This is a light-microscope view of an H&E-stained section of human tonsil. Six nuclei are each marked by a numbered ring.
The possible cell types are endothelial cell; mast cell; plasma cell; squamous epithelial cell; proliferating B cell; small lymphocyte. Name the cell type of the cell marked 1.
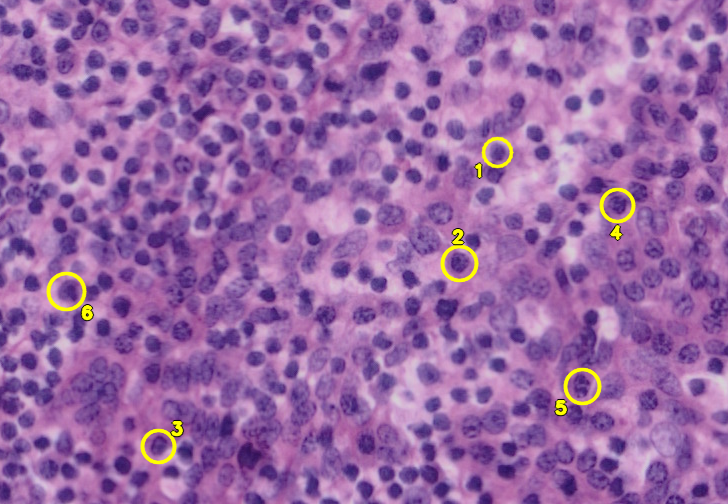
squamous epithelial cell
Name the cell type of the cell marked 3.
plasma cell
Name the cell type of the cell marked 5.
plasma cell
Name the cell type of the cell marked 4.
plasma cell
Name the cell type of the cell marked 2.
plasma cell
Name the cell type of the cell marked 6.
proliferating B cell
